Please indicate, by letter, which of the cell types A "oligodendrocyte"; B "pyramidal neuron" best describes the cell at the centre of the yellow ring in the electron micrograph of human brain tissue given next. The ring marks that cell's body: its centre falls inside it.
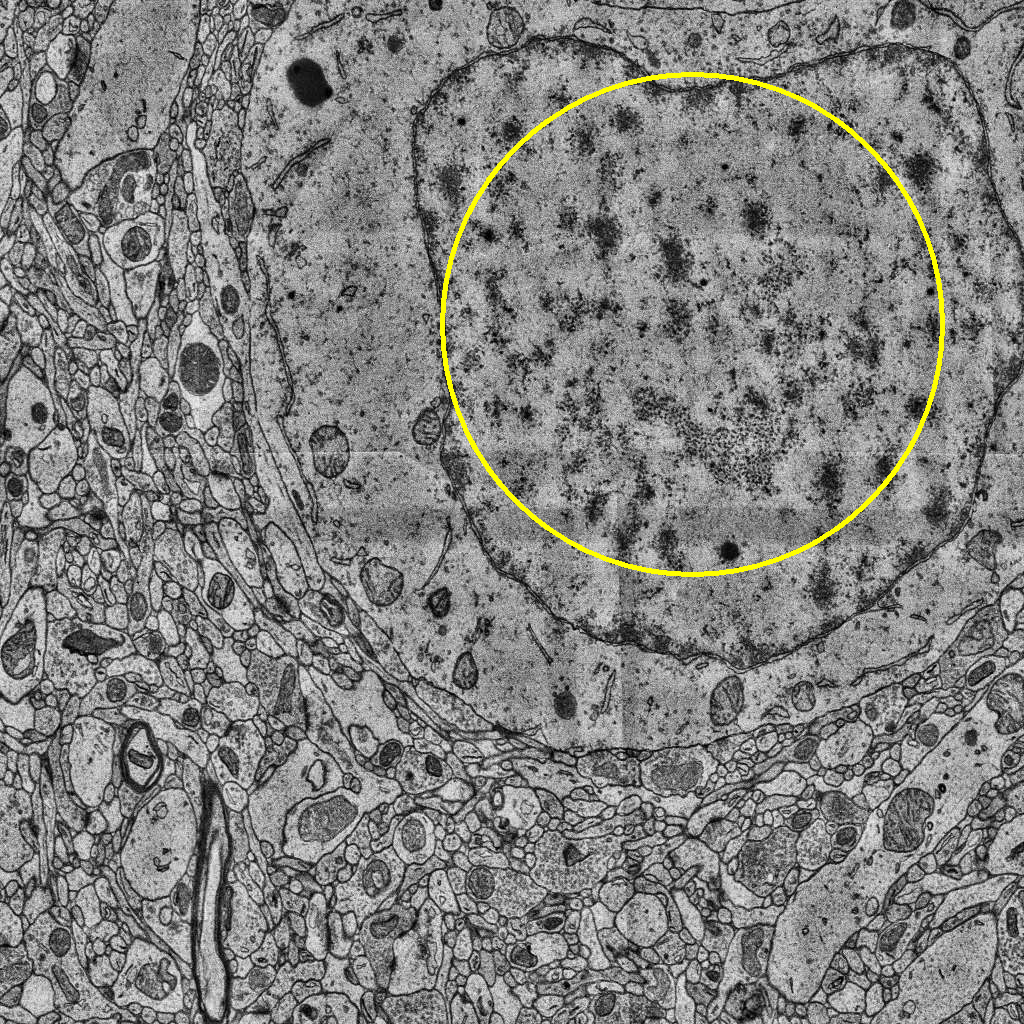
B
